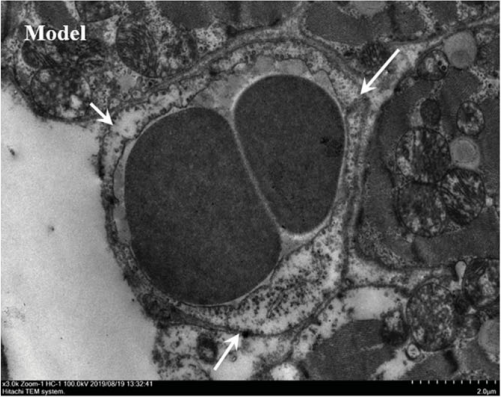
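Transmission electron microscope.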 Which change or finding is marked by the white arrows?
Oedema of endothelial cells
